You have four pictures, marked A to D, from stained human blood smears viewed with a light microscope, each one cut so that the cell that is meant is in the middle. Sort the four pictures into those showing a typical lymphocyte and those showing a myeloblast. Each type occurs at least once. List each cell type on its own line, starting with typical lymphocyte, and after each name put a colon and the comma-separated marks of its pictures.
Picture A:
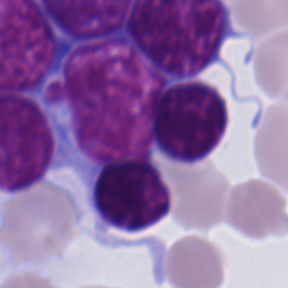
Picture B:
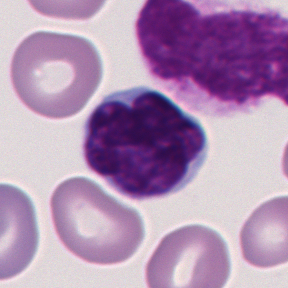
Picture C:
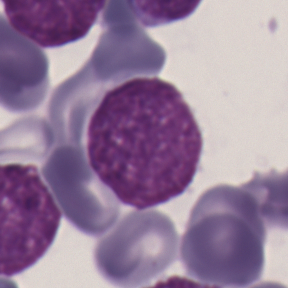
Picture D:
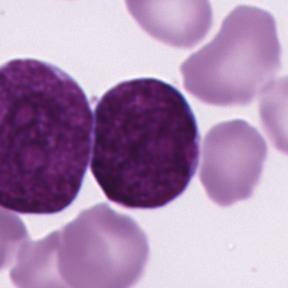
typical lymphocyte: B
myeloblast: A, C, D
